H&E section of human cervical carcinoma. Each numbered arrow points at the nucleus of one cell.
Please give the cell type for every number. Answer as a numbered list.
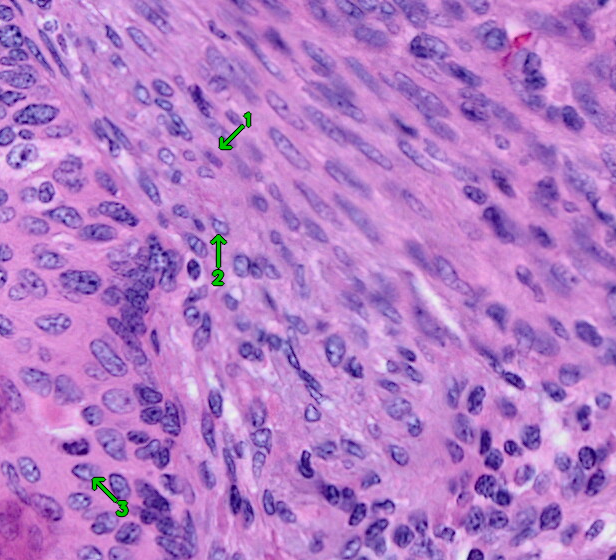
1. smooth muscle cell
2. smooth muscle cell
3. squamous carcinoma cell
